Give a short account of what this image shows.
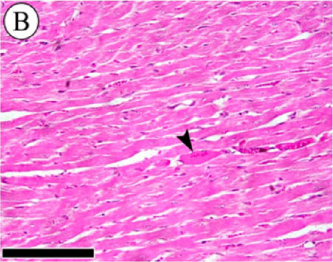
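This is heart muscle cut along its length, with long pink cardiomyocytes running in parallel from lower left to upper right. Their nuclei are elongated and dark, lying within the fibers. The fibers stain a fairly intense pink and are separated here and there by thin clear clefts. Near the middle, a wider gap between fibers contains a row of small red-staining bodies, consistent with red blood cells lying outside a vessel between the muscle fibers.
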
